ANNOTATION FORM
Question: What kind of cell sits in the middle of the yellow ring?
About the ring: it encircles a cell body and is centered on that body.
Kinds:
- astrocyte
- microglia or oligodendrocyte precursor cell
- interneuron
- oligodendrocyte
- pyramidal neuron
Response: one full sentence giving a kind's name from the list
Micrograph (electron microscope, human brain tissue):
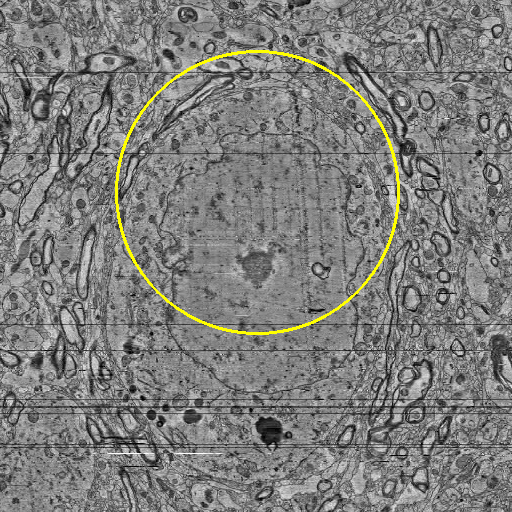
The kind of cell found at the center of the yellow ring in the micrograph is a pyramidal neuron.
